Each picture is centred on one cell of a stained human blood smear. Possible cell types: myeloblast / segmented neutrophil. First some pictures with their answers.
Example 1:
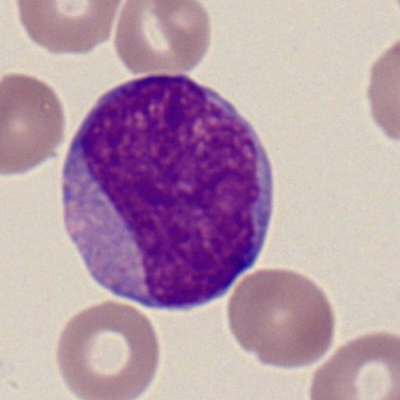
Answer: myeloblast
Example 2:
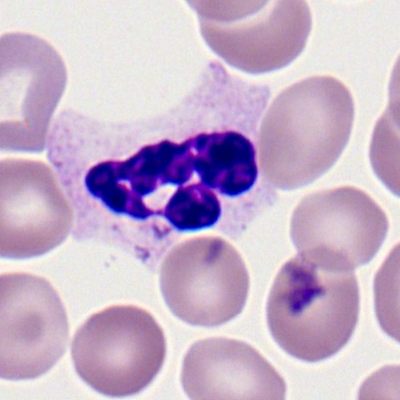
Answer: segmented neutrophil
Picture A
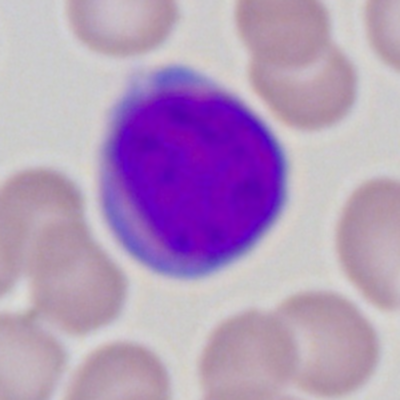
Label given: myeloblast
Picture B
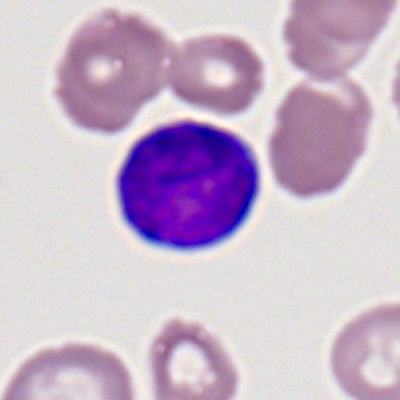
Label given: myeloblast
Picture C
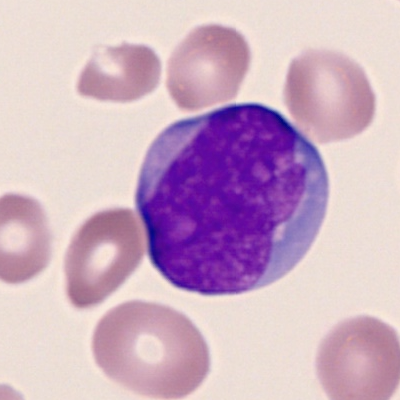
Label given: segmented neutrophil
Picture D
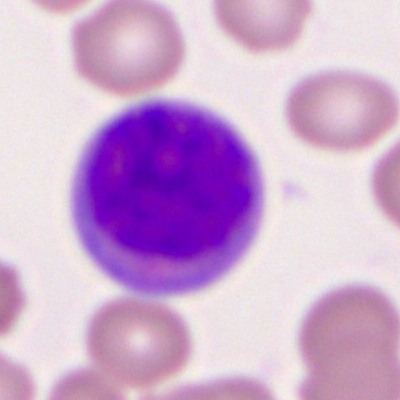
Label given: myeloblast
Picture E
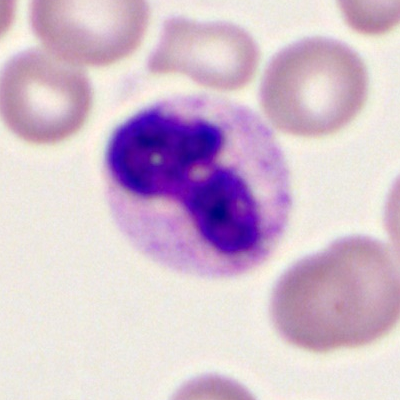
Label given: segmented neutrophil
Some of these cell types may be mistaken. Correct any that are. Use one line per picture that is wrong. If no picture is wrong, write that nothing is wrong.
C should be myeloblast, not segmented neutrophil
